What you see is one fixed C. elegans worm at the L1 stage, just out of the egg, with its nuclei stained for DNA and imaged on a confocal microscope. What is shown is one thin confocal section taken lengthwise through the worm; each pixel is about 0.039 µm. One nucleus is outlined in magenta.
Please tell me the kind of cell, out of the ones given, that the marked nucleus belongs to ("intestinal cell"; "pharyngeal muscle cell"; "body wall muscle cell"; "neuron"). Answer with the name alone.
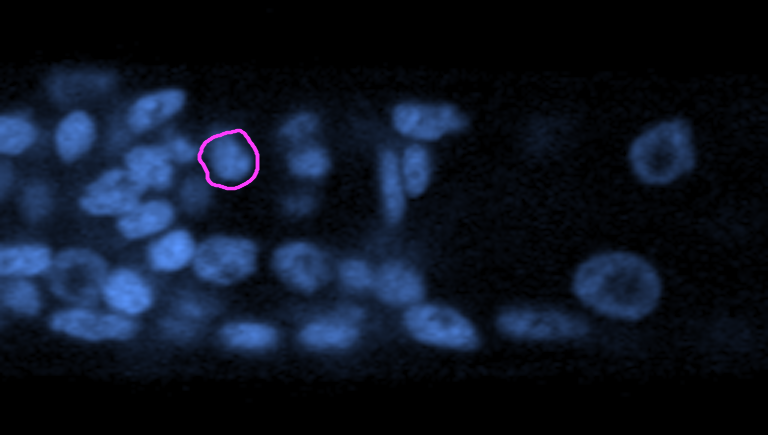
neuron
